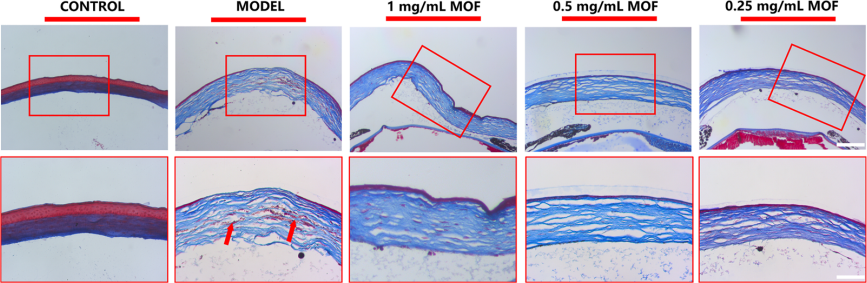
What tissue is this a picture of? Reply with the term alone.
Cornea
